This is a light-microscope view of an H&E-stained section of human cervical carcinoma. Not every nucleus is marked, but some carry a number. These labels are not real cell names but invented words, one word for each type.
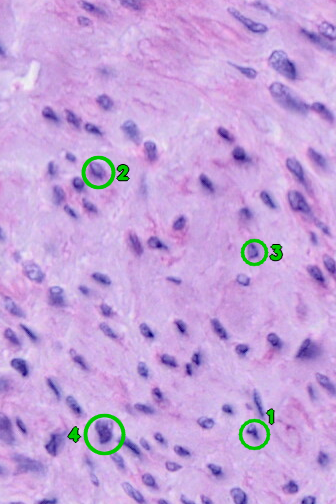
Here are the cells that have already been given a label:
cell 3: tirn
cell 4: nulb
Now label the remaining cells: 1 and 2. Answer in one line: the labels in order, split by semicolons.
nulb; tirn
